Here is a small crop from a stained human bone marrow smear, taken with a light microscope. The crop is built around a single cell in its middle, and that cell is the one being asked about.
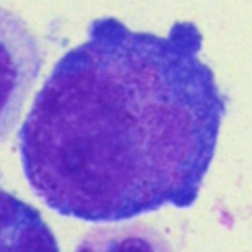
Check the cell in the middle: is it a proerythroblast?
no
